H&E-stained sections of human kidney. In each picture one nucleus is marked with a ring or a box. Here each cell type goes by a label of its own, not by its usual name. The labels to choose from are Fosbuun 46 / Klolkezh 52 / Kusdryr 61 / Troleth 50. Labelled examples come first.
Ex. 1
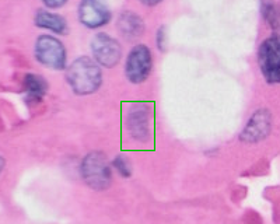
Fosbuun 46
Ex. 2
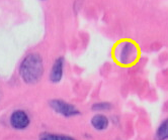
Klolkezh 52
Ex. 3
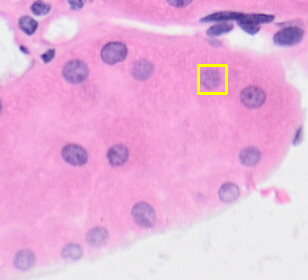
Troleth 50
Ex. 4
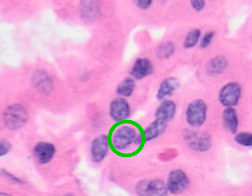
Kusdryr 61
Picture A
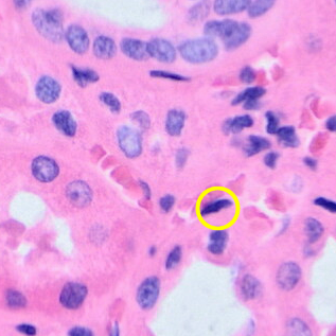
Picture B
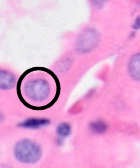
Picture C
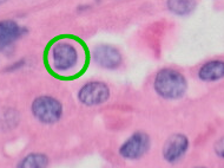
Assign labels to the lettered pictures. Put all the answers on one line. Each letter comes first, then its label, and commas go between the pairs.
A Klolkezh 52, B Fosbuun 46, C Fosbuun 46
